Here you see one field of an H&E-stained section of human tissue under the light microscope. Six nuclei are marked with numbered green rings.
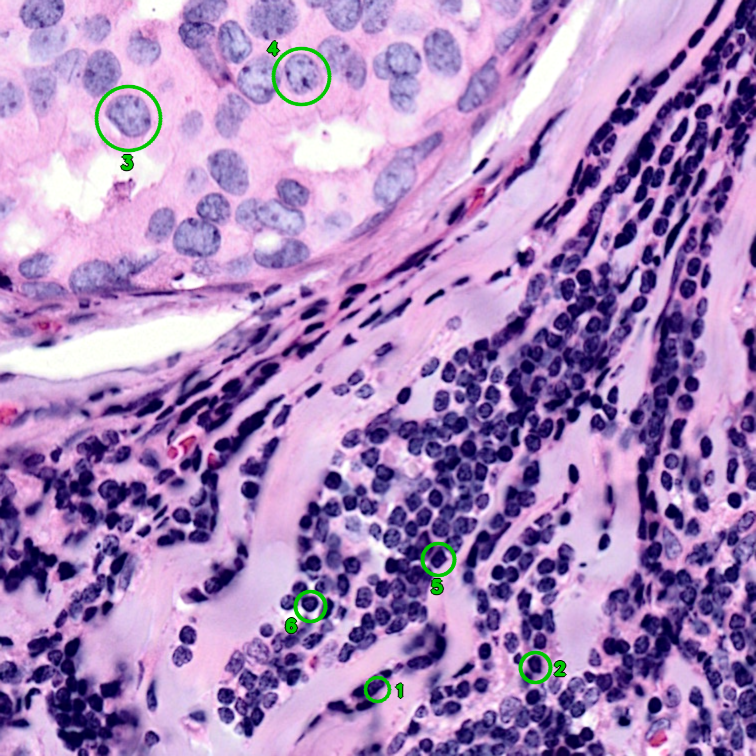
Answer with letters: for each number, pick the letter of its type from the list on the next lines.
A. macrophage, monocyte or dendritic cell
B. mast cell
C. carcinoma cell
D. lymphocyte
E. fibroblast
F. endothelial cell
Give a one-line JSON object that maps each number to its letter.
{"1": "D", "2": "D", "3": "C", "4": "C", "5": "D", "6": "D"}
